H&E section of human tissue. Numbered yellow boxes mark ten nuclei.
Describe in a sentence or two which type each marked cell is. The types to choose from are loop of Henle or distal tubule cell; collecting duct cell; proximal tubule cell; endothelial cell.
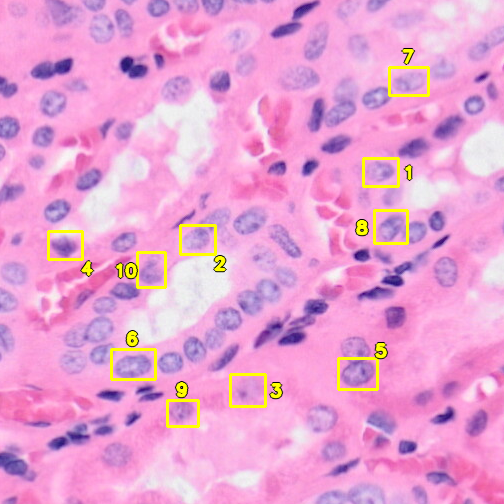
Cell 1 is a collecting duct cell, cell 2 is a collecting duct cell, cell 3 is a proximal tubule cell, cell 4 is a loop of Henle or distal tubule cell, cell 5 is a proximal tubule cell, cell 6 is a collecting duct cell, cell 7 is a collecting duct cell, cell 8 is a collecting duct cell, cell 9 is a proximal tubule cell and cell 10 is a collecting duct cell.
